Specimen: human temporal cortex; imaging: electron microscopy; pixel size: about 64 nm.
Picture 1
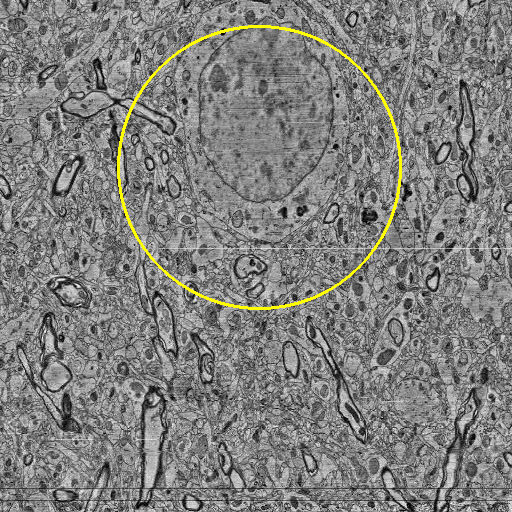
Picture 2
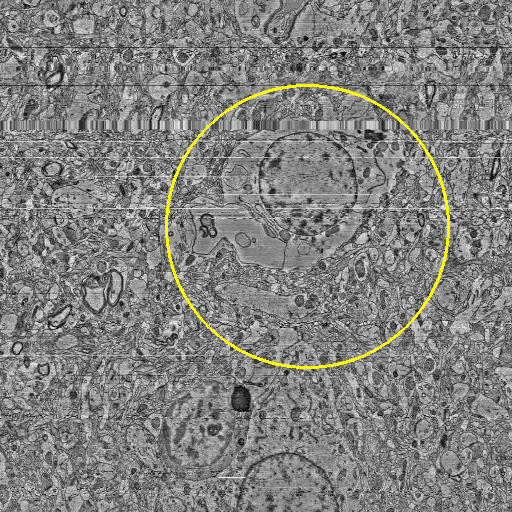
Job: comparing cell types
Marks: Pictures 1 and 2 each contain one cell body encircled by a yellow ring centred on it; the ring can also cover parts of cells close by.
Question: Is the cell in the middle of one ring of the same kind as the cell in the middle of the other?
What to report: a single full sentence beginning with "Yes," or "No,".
No, the cell at the ring centre in Picture 1 and its partner in Picture 2 are of two kinds.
